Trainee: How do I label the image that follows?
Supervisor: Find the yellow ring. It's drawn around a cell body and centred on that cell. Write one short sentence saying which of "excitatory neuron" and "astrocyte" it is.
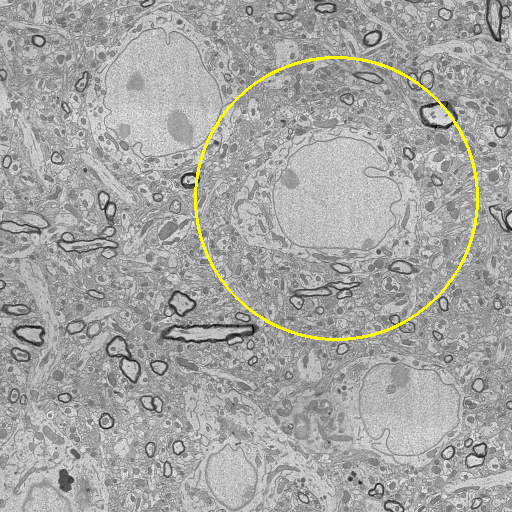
This is the cell body of an excitatory neuron.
